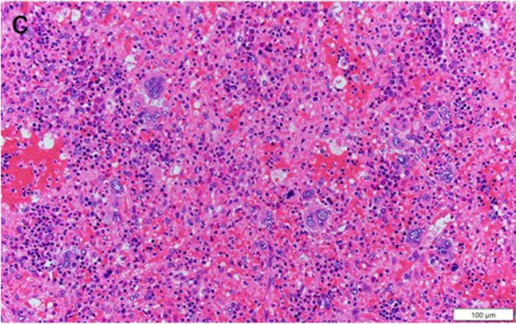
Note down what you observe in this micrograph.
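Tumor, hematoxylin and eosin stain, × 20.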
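Sheets of small round cells with dark nuclei are interspersed with scattered large megakaryocytes with lobulated nuclei and abundant pink cytoplasm. Pools of red blood cells lie between the cells.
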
